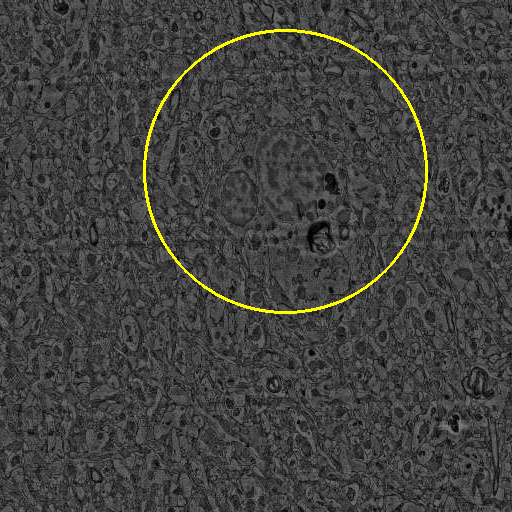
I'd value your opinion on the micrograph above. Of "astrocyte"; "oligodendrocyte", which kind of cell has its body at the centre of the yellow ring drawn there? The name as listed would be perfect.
oligodendrocyte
